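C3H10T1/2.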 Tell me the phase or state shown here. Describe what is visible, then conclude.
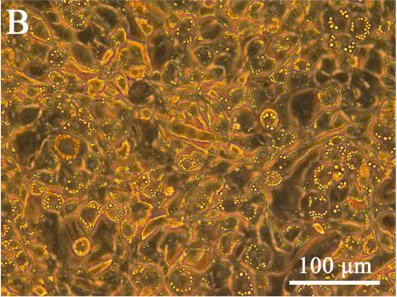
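Adipogenesis. Many cells are rounded rather than spindle-shaped. The cytoplasm of many cells is packed with small bright refractile droplets.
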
